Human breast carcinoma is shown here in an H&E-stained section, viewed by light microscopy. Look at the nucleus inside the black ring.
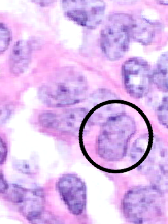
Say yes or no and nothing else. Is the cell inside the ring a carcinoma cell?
yes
